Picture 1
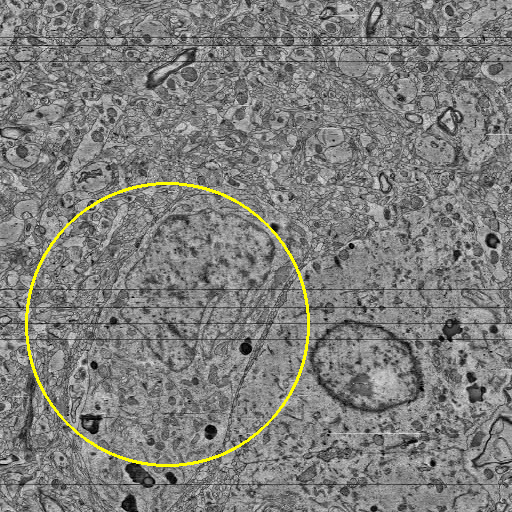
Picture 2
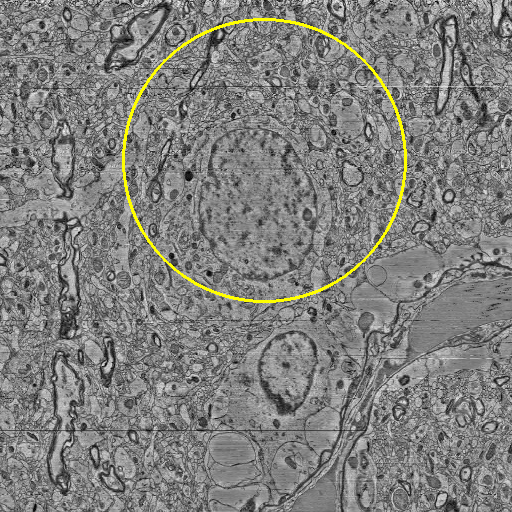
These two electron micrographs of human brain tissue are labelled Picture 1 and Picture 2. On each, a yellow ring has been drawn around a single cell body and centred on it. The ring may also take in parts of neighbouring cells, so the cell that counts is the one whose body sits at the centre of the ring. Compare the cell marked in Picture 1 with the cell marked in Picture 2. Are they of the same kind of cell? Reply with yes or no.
yes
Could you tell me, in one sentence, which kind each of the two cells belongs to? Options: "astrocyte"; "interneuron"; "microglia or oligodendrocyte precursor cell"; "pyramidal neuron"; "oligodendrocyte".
The cell at the ring centre is an interneuron in both pictures.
